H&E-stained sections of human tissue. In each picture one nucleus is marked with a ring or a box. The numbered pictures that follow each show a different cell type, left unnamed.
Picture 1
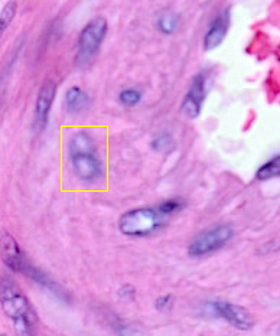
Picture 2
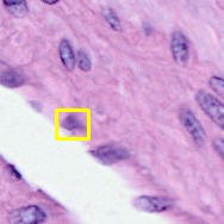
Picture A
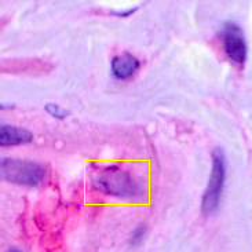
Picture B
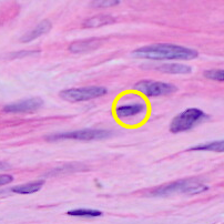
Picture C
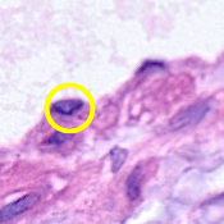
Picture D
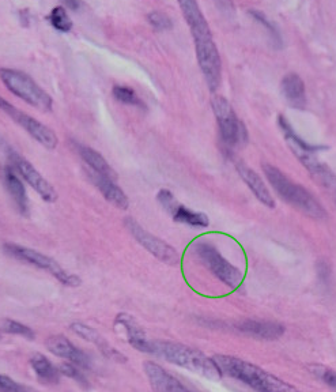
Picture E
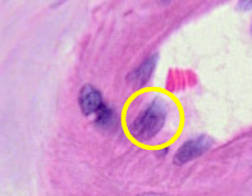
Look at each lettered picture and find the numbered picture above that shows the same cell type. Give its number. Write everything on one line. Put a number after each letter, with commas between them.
A 2, B 1, C 2, D 1, E 2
